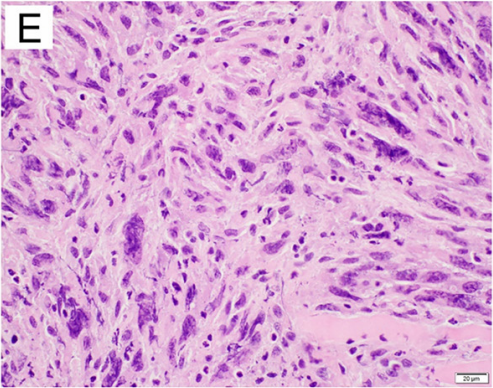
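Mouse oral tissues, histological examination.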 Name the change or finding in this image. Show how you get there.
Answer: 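Nuclei vary greatly in size and shape. Several nuclei are large, irregular and darkly stained. Some cells have bizarre enlarged nuclei.
Significant cytologic atypia.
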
